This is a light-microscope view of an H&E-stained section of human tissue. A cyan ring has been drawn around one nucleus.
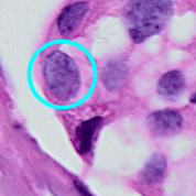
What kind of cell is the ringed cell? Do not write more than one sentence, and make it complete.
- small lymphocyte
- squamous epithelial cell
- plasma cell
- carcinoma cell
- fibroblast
Labelled by cell type, the ringed cell is a carcinoma cell.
